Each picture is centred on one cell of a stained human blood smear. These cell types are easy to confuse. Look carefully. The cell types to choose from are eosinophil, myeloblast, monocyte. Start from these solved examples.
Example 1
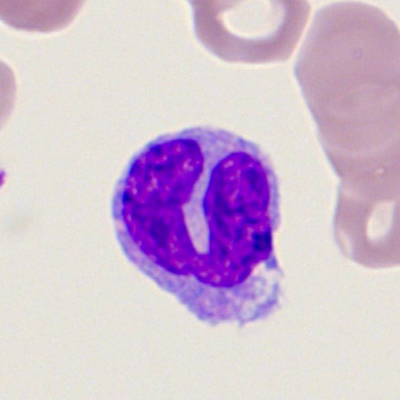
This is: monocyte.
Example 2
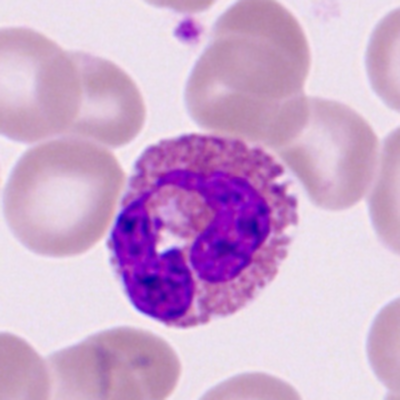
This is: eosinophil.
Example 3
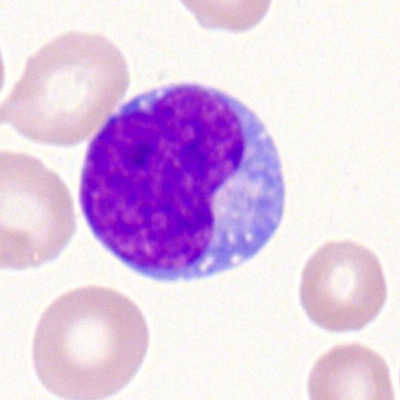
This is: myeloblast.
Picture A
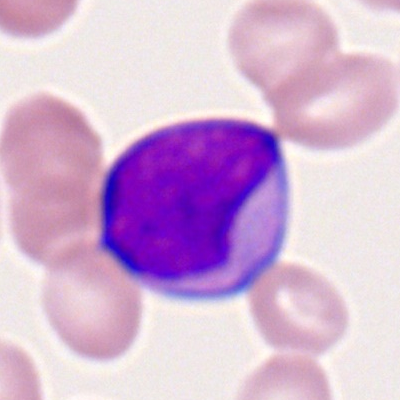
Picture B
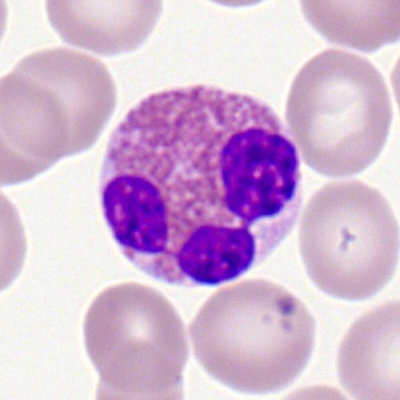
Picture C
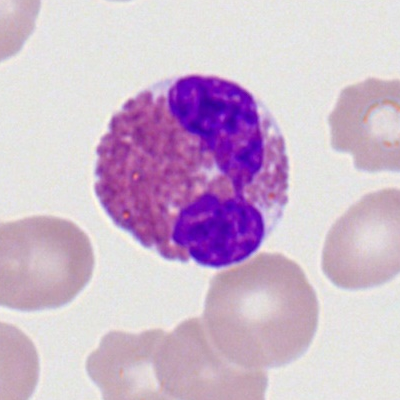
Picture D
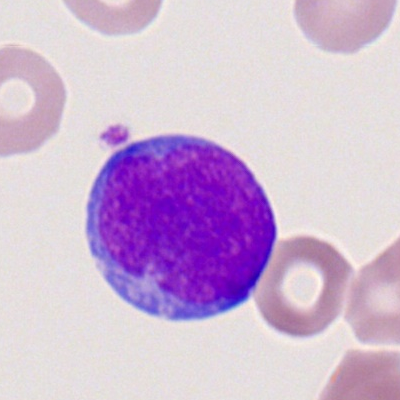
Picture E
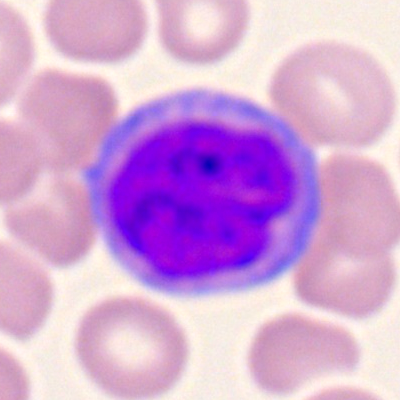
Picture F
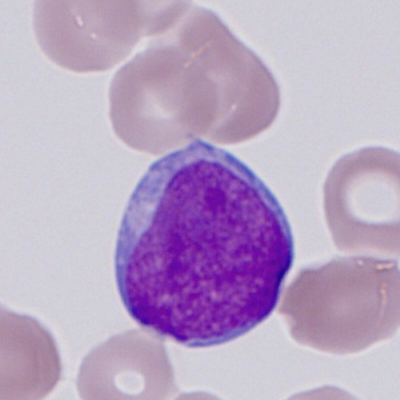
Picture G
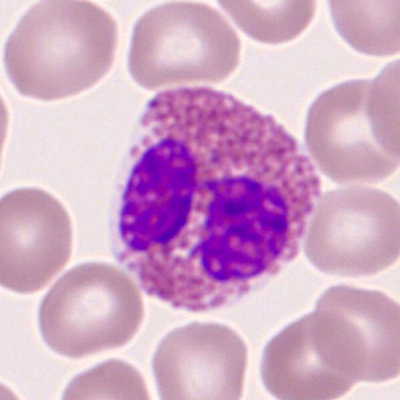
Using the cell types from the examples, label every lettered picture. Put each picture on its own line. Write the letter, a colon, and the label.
A: myeloblast.
B: eosinophil.
C: eosinophil.
D: myeloblast.
E: monocyte.
F: myeloblast.
G: eosinophil.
